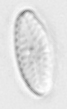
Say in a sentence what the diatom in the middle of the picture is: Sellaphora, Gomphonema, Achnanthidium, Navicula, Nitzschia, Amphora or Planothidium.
This is Planothidium.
